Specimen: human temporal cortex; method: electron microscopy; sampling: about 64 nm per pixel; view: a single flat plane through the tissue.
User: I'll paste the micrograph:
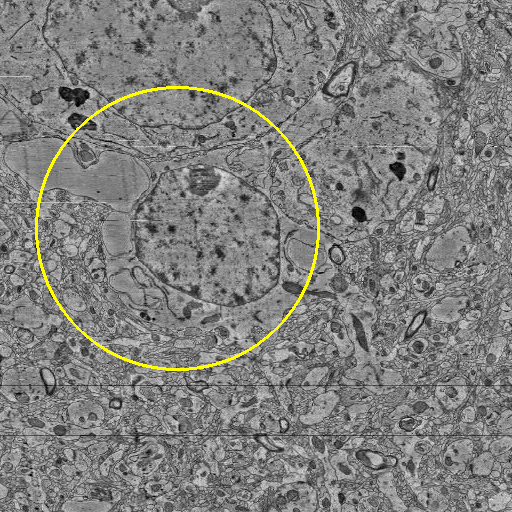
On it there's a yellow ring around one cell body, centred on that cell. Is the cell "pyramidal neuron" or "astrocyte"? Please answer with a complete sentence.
The cell ringed in yellow is an astrocyte.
